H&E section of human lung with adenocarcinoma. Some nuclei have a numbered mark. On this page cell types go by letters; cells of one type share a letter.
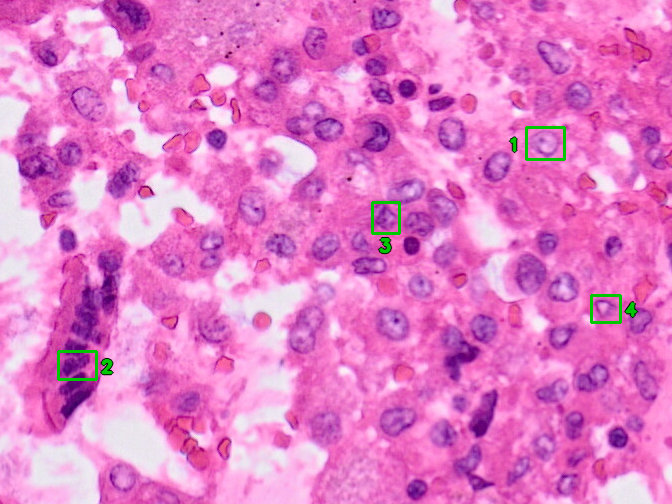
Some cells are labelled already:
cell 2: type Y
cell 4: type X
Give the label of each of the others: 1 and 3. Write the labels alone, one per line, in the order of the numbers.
type X
type X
